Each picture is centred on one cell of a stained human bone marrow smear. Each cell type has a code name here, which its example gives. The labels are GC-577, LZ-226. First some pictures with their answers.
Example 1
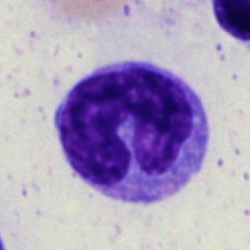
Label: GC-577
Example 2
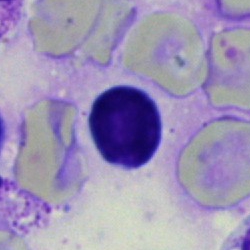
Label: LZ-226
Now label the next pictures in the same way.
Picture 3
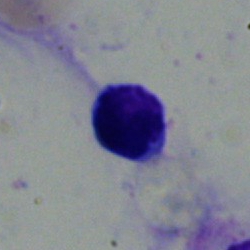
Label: LZ-226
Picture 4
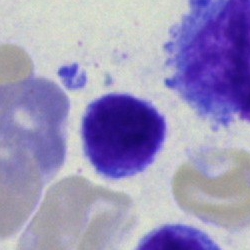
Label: LZ-226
